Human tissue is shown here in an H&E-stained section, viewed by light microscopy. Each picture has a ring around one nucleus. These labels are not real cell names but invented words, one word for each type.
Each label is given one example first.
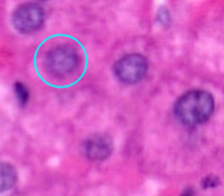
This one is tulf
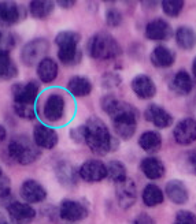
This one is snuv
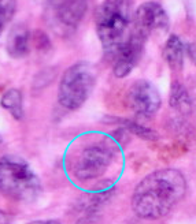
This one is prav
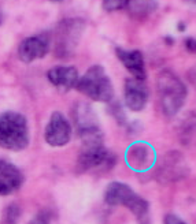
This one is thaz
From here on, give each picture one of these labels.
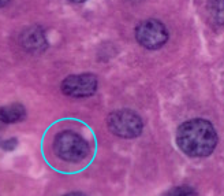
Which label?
tulf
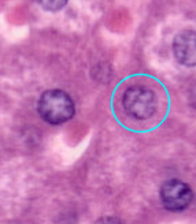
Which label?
tulf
